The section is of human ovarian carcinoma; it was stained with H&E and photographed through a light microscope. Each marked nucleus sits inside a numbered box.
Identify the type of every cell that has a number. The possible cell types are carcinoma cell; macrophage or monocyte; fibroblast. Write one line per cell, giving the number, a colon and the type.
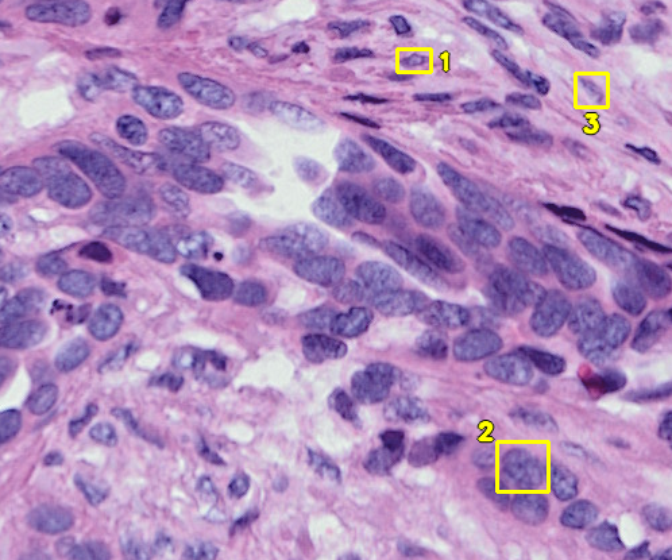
1: fibroblast
2: carcinoma cell
3: fibroblast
